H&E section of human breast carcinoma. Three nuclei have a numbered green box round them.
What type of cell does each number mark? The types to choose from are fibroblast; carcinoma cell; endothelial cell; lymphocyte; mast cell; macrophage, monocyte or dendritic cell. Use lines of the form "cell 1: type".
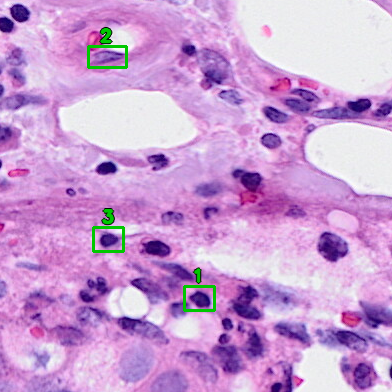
cell 1: lymphocyte
cell 2: endothelial cell
cell 3: lymphocyte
